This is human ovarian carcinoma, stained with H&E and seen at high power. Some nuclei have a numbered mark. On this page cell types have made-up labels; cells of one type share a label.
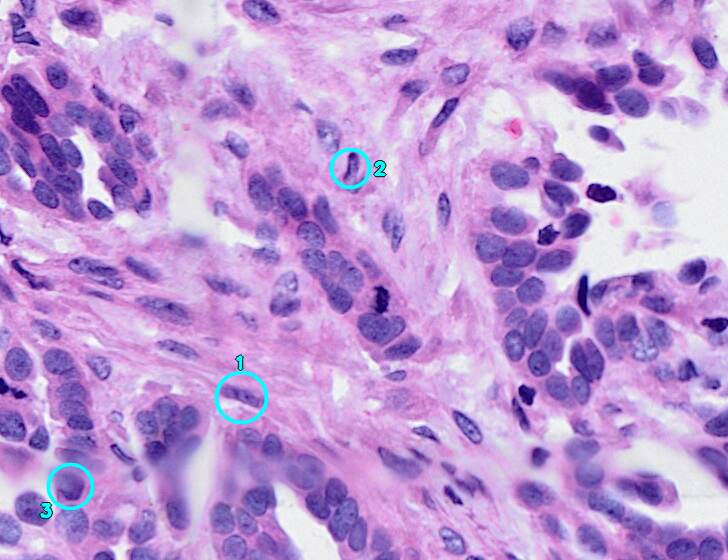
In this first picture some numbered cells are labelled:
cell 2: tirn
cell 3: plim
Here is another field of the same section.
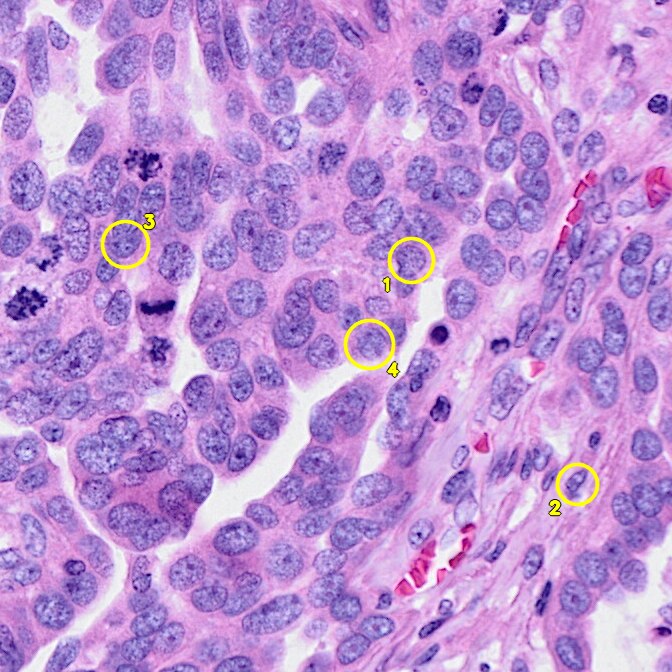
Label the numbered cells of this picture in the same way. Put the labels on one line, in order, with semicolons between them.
plim; tirn; plim; plim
